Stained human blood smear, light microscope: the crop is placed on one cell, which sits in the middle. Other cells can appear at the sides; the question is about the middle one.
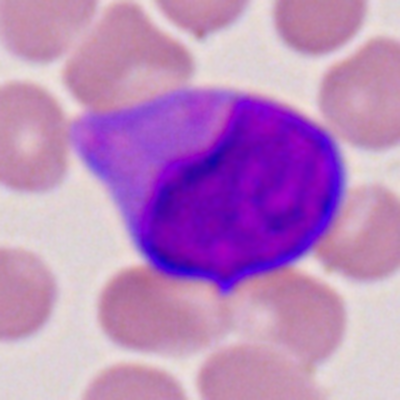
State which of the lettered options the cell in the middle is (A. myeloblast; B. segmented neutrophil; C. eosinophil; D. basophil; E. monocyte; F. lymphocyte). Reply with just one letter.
A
